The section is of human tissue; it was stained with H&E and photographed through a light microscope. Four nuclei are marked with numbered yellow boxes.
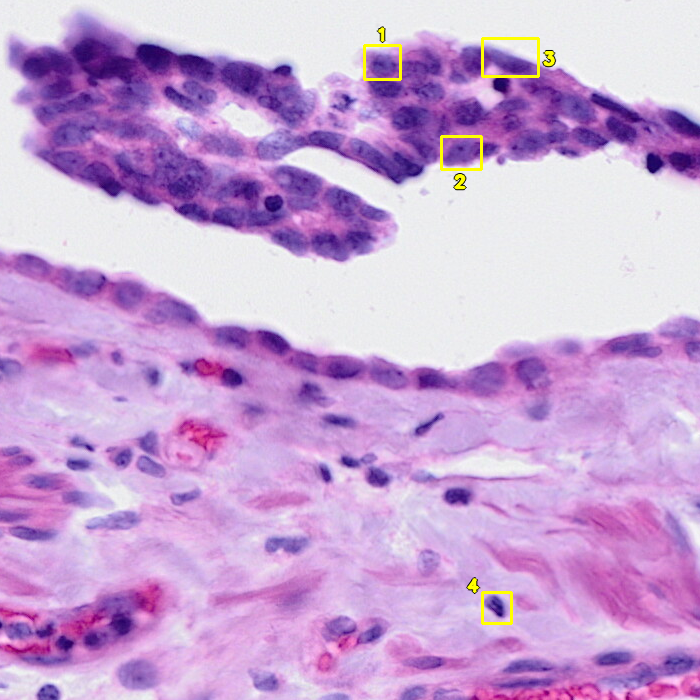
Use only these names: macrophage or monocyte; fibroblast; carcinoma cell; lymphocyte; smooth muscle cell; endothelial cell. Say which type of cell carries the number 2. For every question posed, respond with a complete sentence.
Cell 2 should be recorded as a carcinoma cell.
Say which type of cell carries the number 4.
What the number 4 marks in this field is a lymphocyte.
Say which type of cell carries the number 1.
The cell numbered 1 represents a carcinoma cell.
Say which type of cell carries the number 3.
To a carcinoma cell belongs the nucleus marked 3.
